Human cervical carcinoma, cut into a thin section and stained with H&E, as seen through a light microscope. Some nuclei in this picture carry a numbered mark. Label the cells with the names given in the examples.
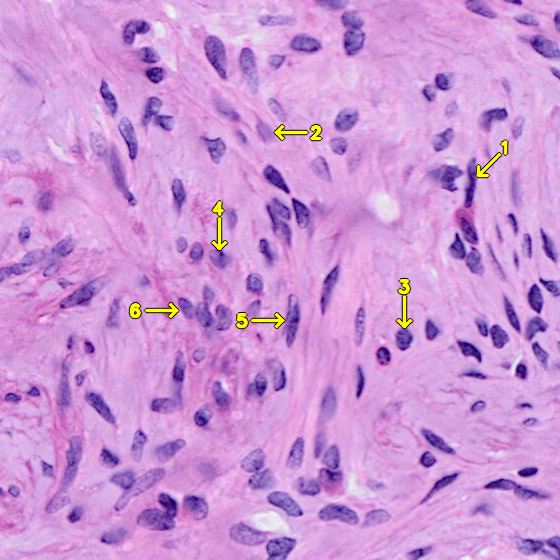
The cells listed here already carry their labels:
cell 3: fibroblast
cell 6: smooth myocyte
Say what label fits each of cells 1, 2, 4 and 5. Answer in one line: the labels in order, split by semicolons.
fibroblast; fibroblast; smooth myocyte; fibroblast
